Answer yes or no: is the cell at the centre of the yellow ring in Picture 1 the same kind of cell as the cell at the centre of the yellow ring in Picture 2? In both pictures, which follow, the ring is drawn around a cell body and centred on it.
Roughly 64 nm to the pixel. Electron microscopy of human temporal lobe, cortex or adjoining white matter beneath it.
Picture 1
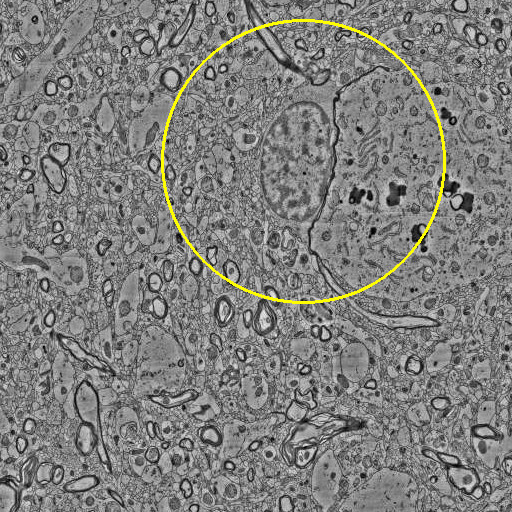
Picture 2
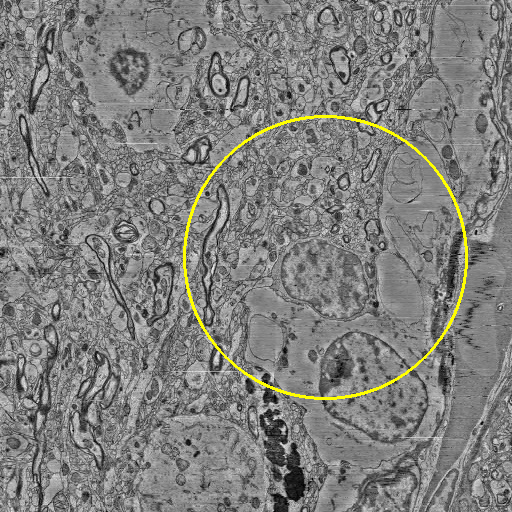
yes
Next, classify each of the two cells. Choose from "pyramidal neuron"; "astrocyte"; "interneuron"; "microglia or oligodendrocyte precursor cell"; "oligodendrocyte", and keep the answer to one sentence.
The cell in the first picture is an oligodendrocyte, and so is the one in the second.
